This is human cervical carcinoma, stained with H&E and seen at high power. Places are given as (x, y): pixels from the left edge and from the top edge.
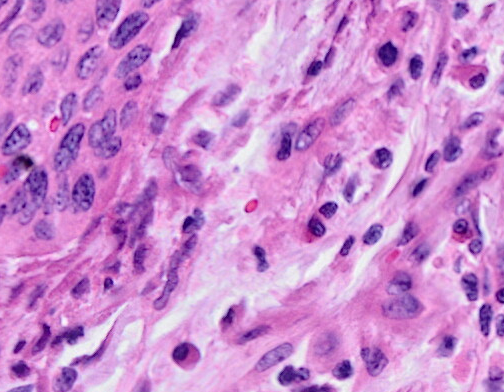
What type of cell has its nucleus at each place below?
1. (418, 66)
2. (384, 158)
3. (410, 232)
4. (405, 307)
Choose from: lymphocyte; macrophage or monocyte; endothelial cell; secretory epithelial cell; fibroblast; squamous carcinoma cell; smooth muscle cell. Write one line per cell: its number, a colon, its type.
1: lymphocyte
2: lymphocyte
3: endothelial cell
4: endothelial cell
